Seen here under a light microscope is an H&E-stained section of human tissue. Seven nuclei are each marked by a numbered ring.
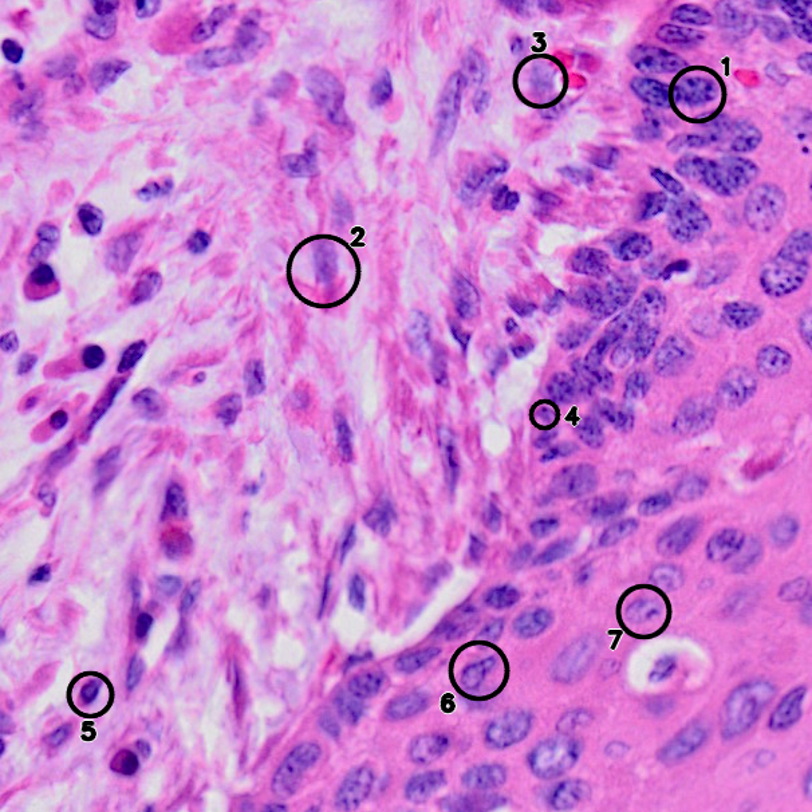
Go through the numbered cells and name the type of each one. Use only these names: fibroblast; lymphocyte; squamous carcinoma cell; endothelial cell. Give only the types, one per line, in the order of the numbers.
squamous carcinoma cell
fibroblast
endothelial cell
squamous carcinoma cell
lymphocyte
squamous carcinoma cell
squamous carcinoma cell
